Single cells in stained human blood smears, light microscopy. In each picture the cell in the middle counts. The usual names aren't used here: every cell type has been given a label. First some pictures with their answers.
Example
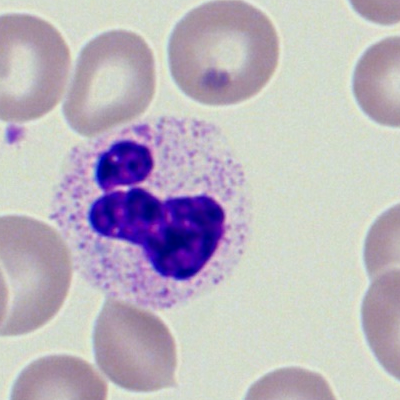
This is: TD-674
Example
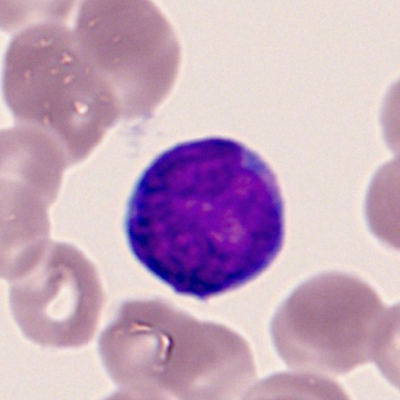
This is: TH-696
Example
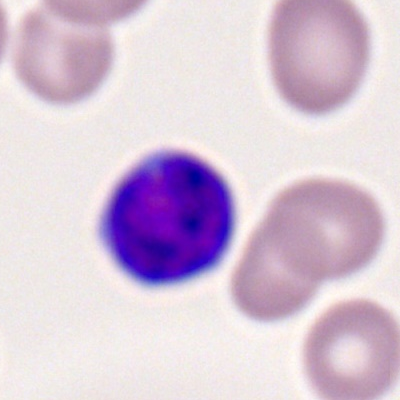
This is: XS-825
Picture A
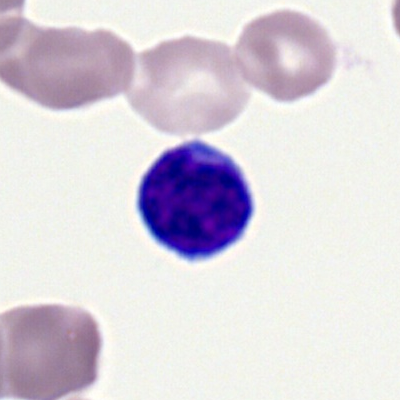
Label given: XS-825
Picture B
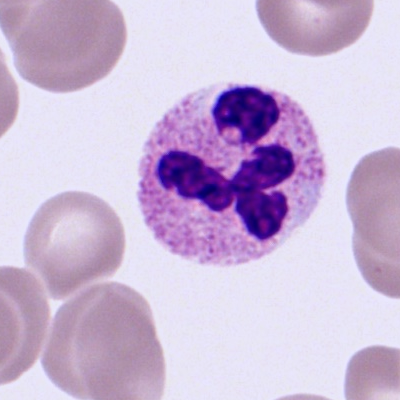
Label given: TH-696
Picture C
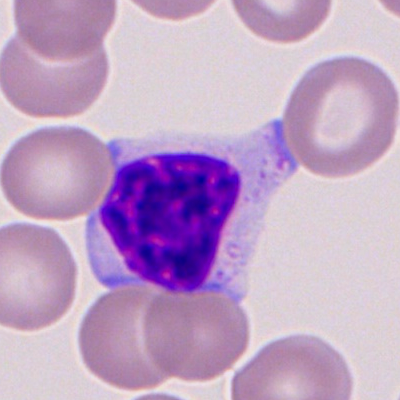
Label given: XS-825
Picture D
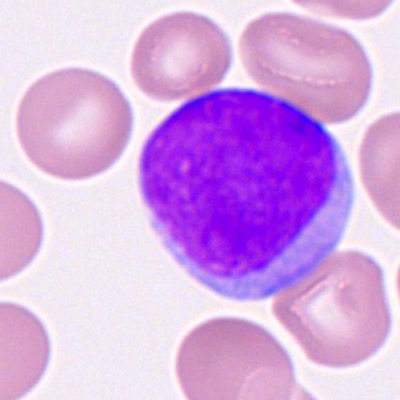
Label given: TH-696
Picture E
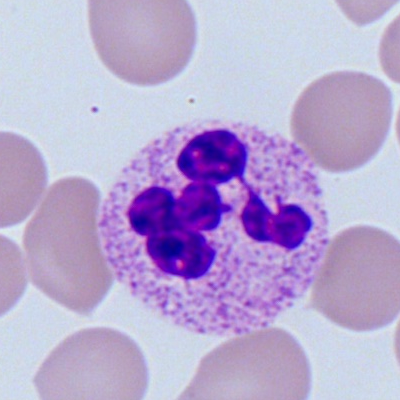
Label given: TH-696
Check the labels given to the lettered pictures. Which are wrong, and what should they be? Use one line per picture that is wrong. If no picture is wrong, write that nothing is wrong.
B is labelled TH-696; correct label: TD-674
E is labelled TH-696; correct label: TD-674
